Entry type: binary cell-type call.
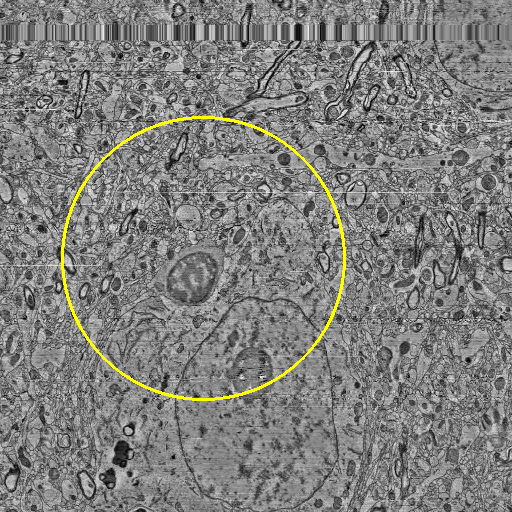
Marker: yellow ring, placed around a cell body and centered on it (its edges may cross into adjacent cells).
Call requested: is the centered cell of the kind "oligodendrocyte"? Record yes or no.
yes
